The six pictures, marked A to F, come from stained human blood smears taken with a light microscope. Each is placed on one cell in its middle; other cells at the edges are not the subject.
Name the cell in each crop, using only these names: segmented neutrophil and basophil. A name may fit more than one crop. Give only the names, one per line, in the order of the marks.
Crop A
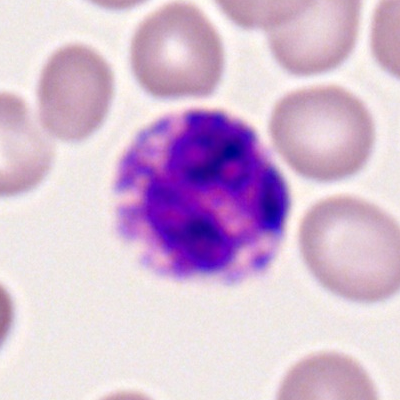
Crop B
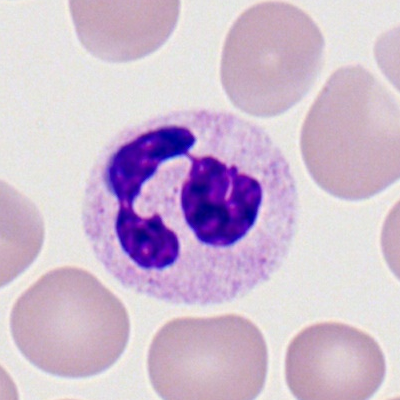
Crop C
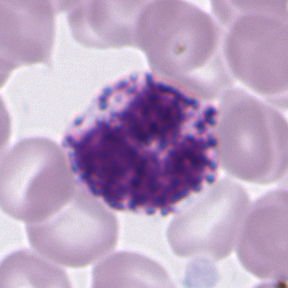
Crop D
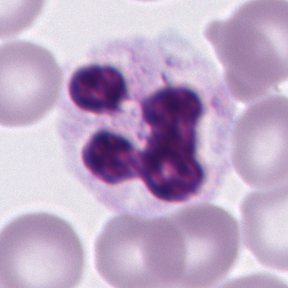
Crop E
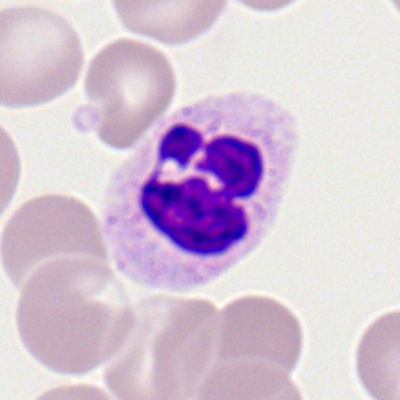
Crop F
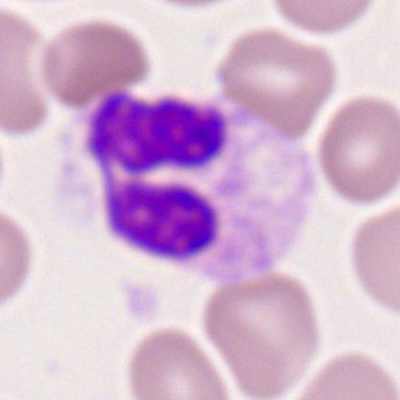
basophil
segmented neutrophil
basophil
segmented neutrophil
segmented neutrophil
segmented neutrophil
